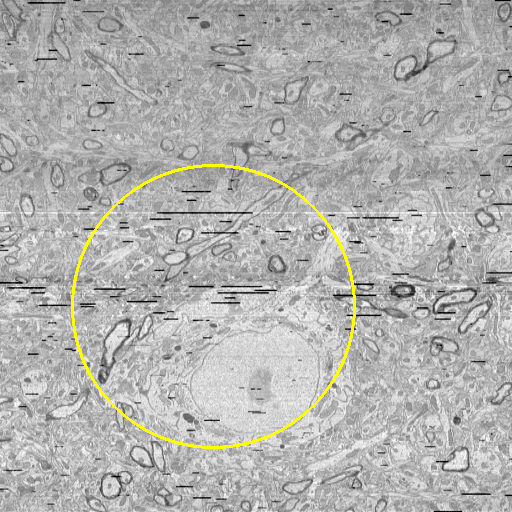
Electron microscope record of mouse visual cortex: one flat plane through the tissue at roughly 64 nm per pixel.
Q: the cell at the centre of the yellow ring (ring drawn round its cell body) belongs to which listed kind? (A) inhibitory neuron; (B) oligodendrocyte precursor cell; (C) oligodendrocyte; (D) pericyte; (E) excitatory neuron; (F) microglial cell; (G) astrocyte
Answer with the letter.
B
